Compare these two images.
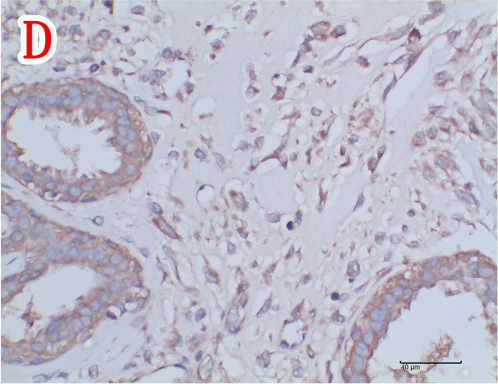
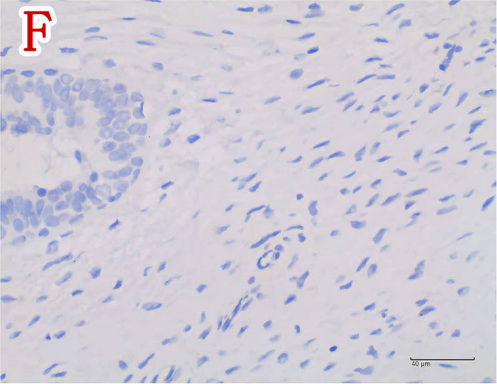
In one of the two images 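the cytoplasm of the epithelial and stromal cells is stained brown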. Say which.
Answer: The first image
